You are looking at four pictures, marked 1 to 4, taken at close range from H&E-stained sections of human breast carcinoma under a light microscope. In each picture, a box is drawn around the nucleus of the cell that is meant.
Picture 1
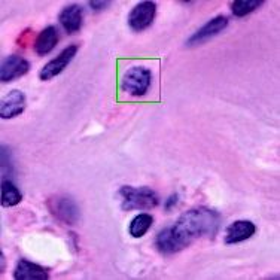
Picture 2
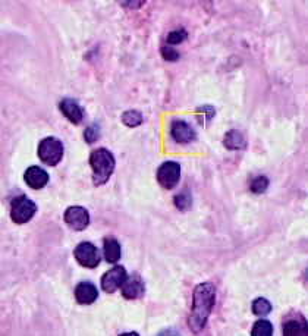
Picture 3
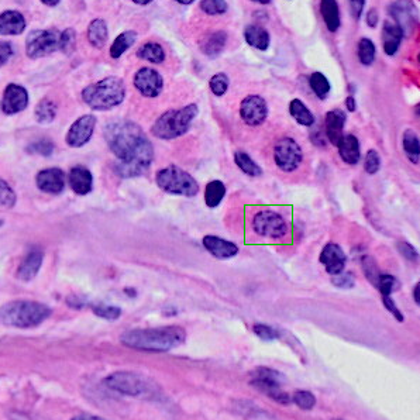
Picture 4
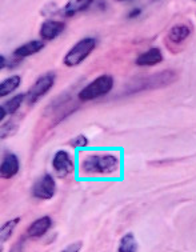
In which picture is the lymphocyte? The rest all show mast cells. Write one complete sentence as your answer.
Picture 2 is the one that shows the lymphocyte.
